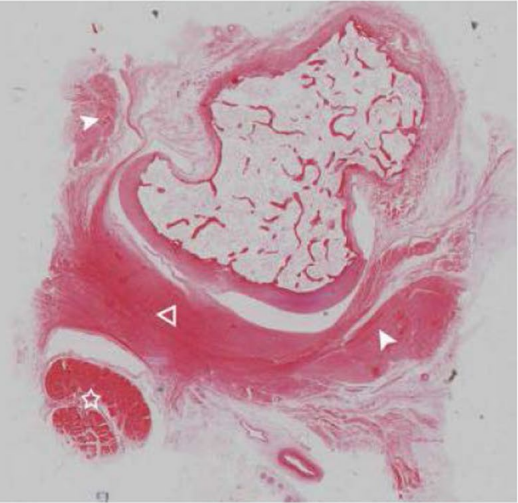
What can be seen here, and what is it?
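This low-power section shows dense fibrous connective tissue wrapped around a bone of the joint. At the top sits the bone, its interior a spongy meshwork of thin pink trabeculae separating pale empty spaces. Beneath it curves a smooth pale layer, and under that a broad band of densely packed, wavy pink fibres sweeps across, thickening toward each side. At the lower left lies a separate round bundle split into many strongly red fascicles, sitting in its own clear space. Looser, paler fibrous tissue fills the periphery, and a small thick-walled vessel is seen near the bottom.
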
